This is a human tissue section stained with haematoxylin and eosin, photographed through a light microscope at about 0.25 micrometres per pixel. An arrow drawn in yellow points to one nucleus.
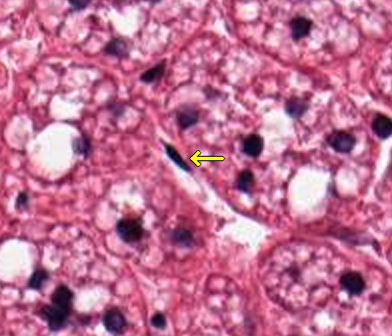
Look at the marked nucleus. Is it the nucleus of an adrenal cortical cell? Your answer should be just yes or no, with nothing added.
no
